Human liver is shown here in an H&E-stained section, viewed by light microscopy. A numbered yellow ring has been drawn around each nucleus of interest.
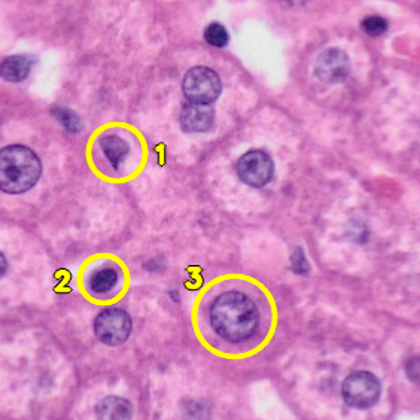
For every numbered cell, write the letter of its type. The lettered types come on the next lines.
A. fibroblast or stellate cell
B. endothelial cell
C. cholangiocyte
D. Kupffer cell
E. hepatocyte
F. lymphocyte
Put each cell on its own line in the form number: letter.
1: B
2: F
3: E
